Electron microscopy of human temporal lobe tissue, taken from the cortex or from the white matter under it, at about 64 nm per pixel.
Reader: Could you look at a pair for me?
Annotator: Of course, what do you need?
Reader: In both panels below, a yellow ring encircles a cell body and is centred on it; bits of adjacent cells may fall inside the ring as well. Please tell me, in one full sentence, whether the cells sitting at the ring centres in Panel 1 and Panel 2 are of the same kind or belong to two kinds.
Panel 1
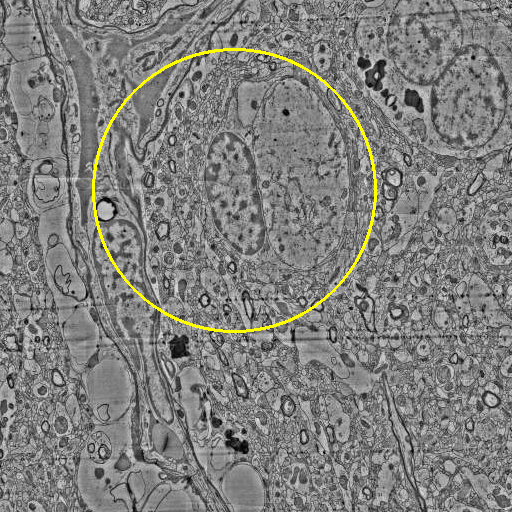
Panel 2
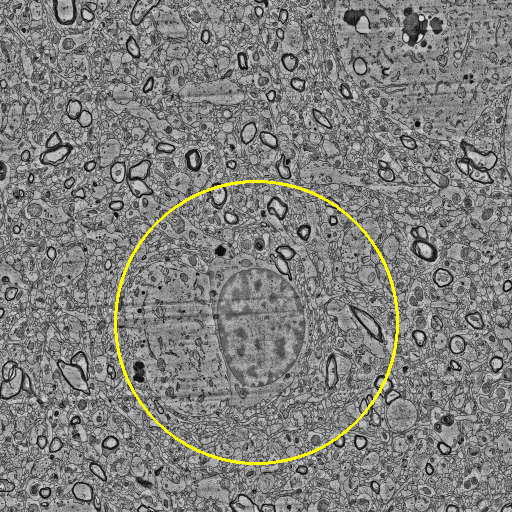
The cell at the ring's centre in Panel 1 and the one in Panel 2 belong to two kinds.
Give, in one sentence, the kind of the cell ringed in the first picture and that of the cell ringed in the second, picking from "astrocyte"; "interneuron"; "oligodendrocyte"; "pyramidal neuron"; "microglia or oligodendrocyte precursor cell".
For the first picture it is a microglial cell or oligodendrocyte precursor cell; for the second, an oligodendrocyte.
